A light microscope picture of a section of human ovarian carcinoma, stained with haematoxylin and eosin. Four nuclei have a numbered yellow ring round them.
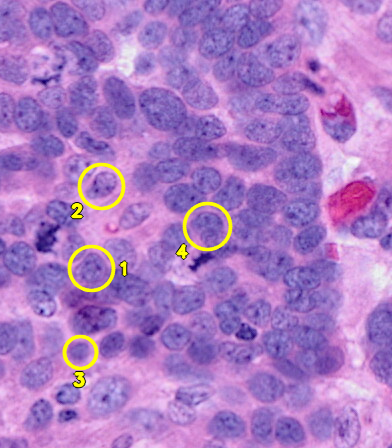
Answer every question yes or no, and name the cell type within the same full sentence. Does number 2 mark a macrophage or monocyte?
Yes, a macrophage or monocyte is what the cell numbered 2 is.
